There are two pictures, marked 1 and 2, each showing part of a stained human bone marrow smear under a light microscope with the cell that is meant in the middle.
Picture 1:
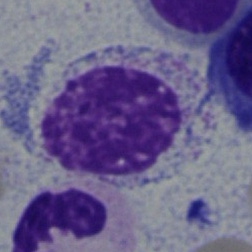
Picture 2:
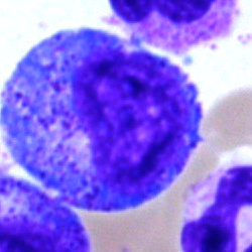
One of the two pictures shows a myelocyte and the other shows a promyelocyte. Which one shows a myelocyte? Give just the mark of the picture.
1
